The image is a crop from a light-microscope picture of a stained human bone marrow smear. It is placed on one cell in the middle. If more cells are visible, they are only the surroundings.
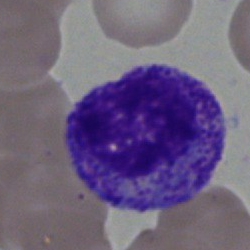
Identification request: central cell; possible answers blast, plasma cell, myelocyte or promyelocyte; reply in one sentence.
This particular crop is centered on a promyelocyte.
